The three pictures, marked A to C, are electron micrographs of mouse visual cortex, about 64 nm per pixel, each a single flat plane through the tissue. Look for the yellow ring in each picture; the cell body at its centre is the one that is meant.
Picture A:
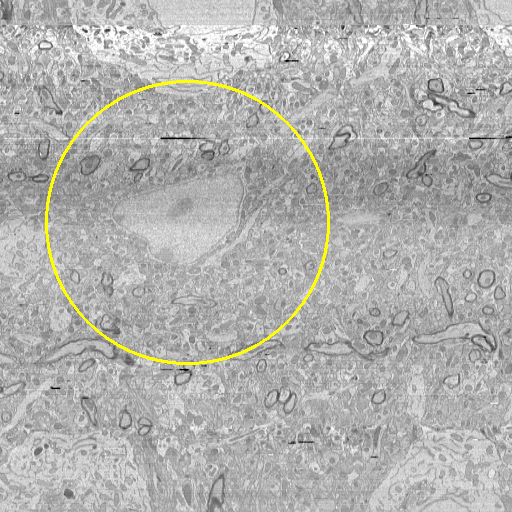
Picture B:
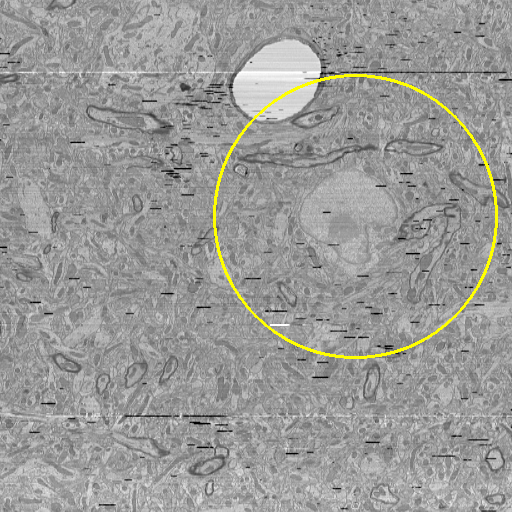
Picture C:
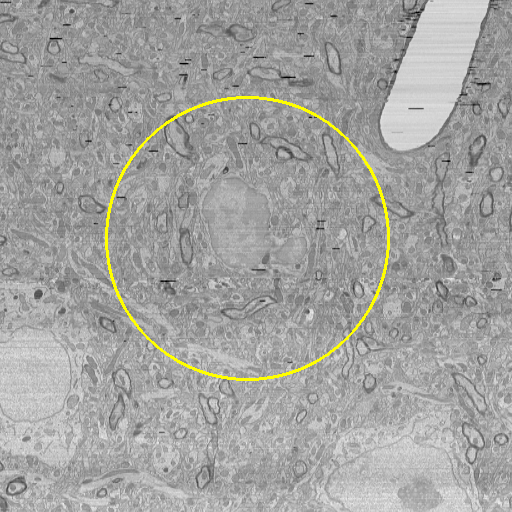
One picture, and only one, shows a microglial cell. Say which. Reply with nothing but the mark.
C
